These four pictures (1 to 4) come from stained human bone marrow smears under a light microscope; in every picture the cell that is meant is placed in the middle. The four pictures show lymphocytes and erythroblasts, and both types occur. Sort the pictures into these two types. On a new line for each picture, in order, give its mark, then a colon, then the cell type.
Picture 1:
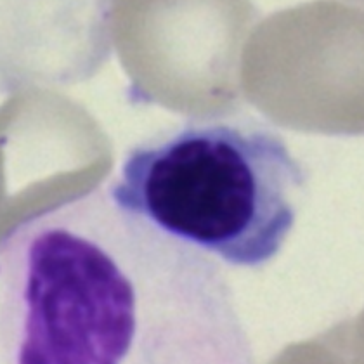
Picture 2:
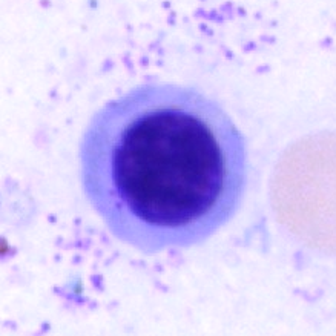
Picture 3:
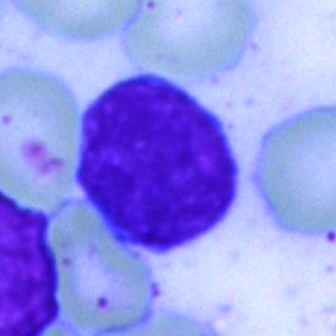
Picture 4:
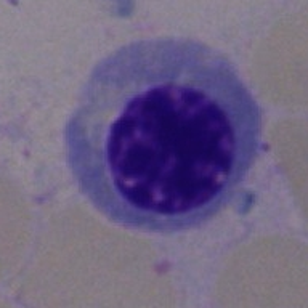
1: erythroblast
2: erythroblast
3: lymphocyte
4: erythroblast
